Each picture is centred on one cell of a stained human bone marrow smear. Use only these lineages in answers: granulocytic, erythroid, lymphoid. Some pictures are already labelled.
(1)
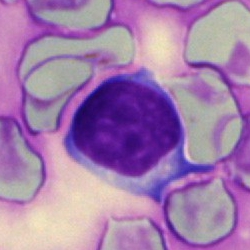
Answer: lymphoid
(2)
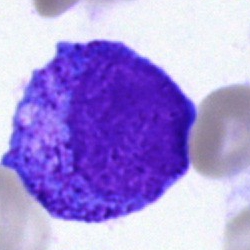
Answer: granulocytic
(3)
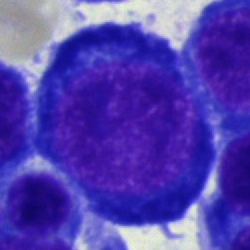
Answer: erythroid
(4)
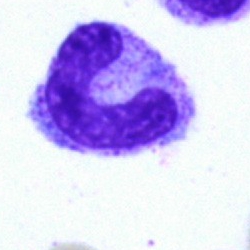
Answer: granulocytic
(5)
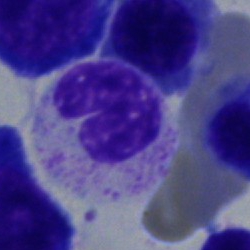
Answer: granulocytic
